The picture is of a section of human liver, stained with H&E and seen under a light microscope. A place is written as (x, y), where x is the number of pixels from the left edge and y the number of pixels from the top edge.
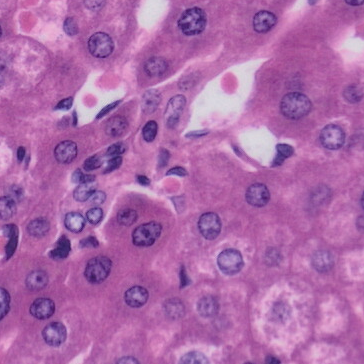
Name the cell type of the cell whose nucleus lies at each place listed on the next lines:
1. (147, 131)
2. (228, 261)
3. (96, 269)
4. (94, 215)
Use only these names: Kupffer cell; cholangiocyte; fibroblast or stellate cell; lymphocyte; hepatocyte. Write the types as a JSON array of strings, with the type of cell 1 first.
["cholangiocyte", "hepatocyte", "hepatocyte", "cholangiocyte"]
